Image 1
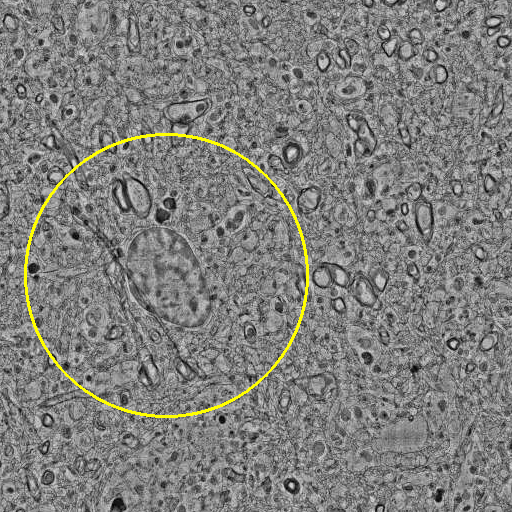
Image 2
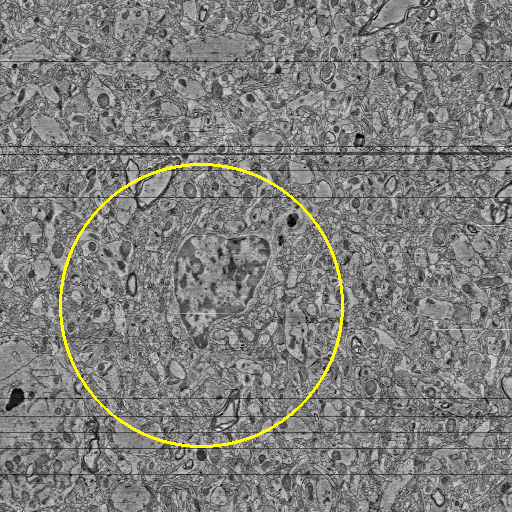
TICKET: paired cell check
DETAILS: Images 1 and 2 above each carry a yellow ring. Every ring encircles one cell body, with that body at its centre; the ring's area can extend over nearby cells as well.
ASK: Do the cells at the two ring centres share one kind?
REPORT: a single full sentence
Yes, the ring-centre cells of Images 1 and 2 belong to a single kind.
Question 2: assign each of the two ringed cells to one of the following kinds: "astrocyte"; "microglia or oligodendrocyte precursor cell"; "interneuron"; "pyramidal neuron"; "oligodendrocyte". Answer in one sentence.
The second cell is a microglial cell or oligodendrocyte precursor cell, just as the first is.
